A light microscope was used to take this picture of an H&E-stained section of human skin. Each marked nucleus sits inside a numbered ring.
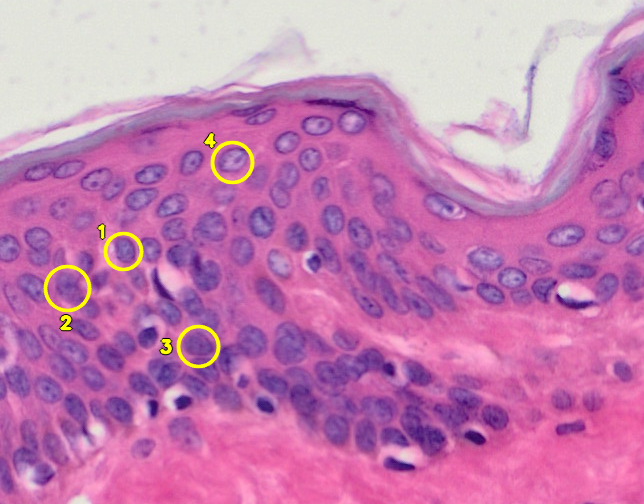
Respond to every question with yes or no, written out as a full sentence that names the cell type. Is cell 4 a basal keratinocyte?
No, cell 4 is to be classed as a suprabasal keratinocyte, not a basal keratinocyte.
